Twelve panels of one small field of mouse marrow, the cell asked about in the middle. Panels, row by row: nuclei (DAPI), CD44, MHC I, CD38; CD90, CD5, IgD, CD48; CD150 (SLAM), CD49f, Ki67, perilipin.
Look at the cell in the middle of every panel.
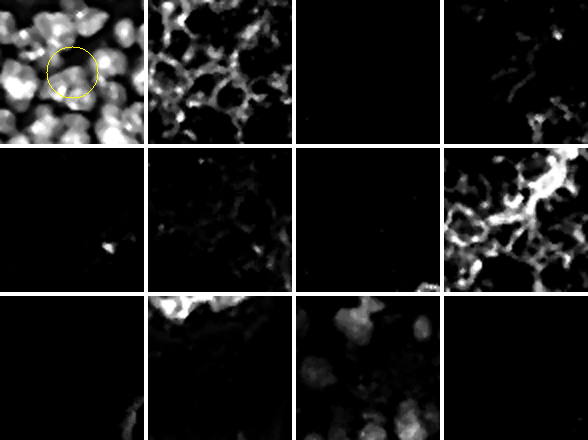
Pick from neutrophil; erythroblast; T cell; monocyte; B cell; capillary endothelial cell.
monocyte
